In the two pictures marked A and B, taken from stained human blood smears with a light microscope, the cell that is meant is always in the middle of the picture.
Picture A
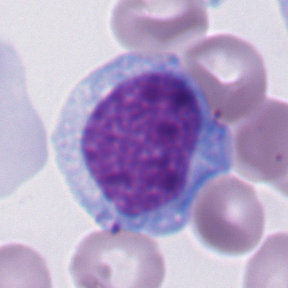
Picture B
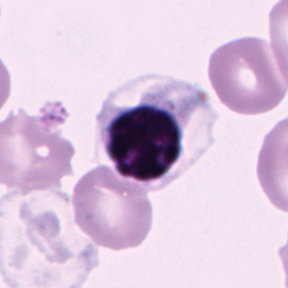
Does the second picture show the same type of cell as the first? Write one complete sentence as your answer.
No. Picture A shows a promyelocyte, but picture B shows a normoblast.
